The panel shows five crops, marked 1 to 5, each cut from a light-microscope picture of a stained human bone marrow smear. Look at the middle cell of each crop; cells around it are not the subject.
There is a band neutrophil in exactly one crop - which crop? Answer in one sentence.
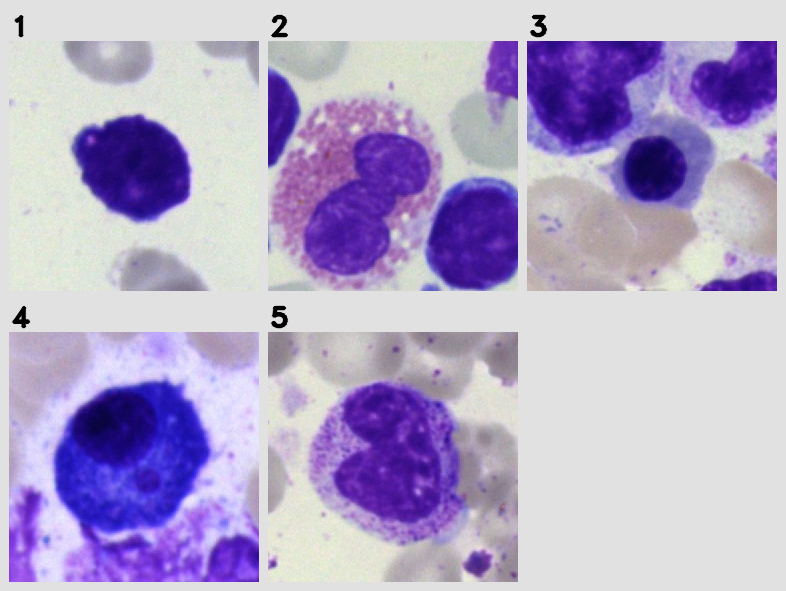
Here the crop that shows a band neutrophil is crop 5.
